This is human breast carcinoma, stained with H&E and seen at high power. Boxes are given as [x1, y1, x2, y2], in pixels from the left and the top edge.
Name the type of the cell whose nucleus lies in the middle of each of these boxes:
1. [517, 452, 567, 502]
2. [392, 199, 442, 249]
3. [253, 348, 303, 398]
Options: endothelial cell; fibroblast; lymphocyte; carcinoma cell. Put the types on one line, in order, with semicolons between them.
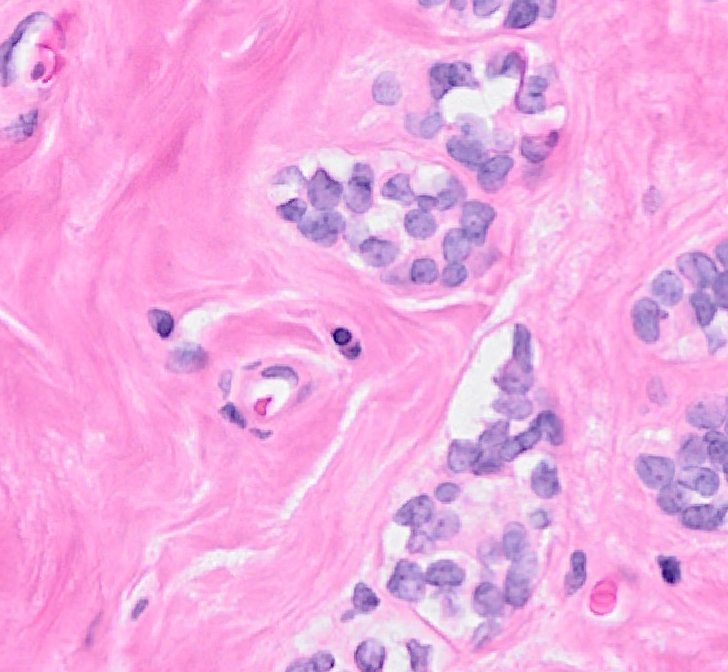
carcinoma cell; carcinoma cell; endothelial cell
